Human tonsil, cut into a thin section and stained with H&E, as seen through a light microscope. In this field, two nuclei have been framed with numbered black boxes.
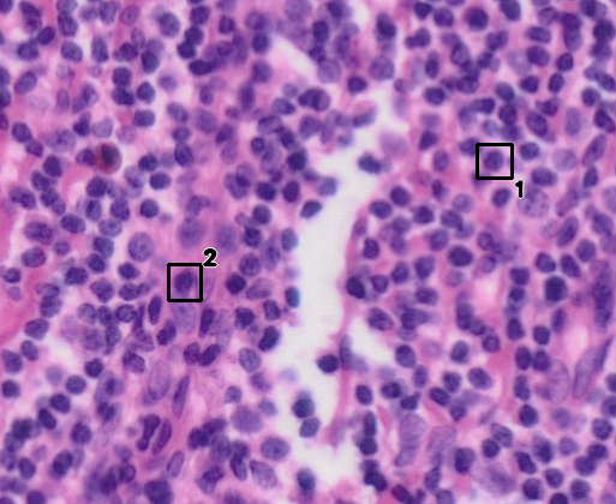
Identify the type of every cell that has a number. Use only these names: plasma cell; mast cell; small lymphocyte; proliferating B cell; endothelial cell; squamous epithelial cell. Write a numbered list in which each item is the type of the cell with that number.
1. small lymphocyte
2. endothelial cell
